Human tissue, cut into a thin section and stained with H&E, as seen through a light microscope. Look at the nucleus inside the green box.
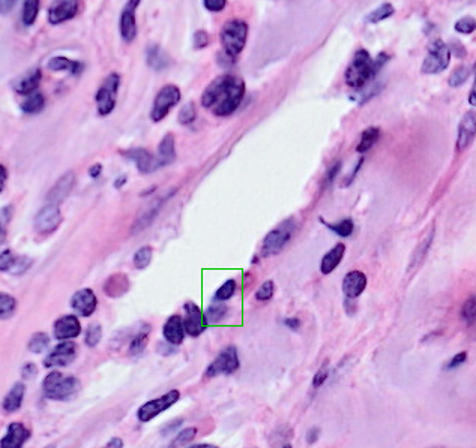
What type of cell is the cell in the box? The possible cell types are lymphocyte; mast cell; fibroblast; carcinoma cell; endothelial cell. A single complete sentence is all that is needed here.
Considered by cell type, the cell in the box is a lymphocyte.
